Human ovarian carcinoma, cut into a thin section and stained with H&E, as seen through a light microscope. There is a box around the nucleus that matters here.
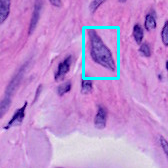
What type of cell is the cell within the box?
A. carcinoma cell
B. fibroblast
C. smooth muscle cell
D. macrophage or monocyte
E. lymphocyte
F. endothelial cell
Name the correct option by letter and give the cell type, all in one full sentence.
Option C is correct in that the cell within the box is a smooth muscle cell.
